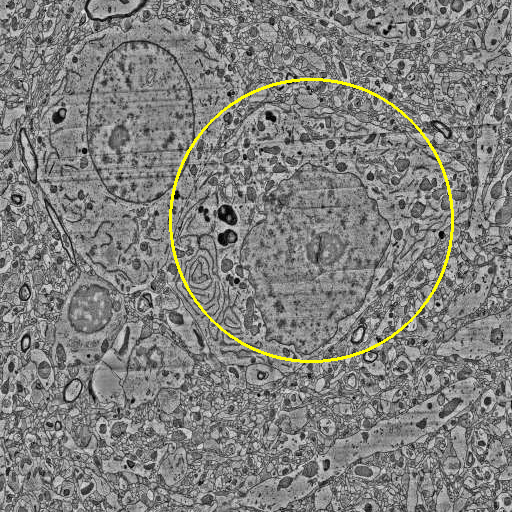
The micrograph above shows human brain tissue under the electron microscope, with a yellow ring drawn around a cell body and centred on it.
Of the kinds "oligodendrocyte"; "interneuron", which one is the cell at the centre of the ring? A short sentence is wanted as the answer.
The one at the centre of the ring is an interneuron.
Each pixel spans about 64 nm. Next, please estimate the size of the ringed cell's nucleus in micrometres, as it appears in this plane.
Approximately 12 micrometres long and 9 micrometres wide, in this plane.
